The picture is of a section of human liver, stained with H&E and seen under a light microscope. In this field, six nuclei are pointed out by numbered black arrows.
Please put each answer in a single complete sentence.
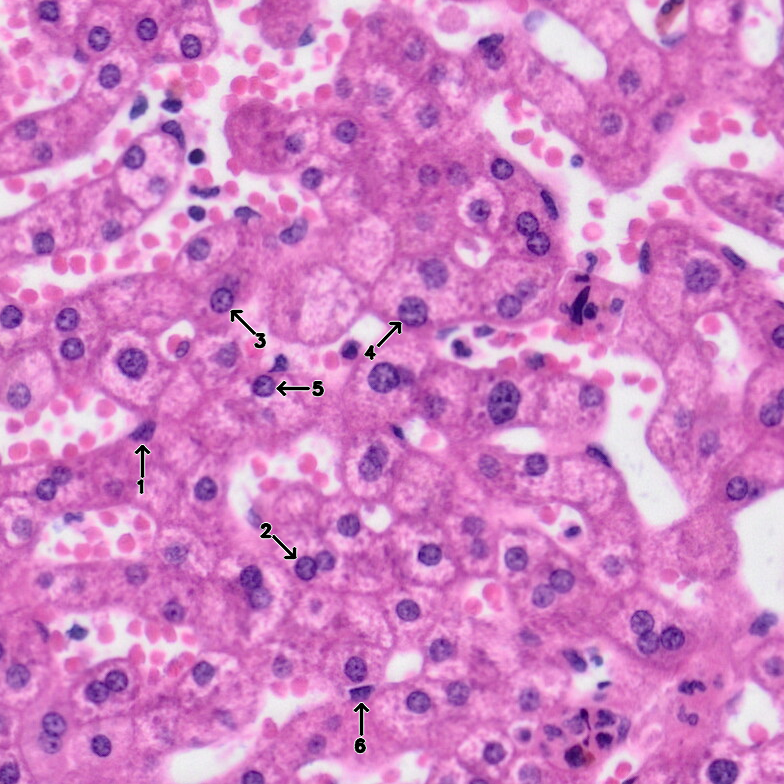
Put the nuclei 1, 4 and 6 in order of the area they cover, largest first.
Largest first, the order by area is 4, 1, 6.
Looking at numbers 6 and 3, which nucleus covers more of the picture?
Nucleus 3 is larger, with an area about 1.5 times that of nucleus 6.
